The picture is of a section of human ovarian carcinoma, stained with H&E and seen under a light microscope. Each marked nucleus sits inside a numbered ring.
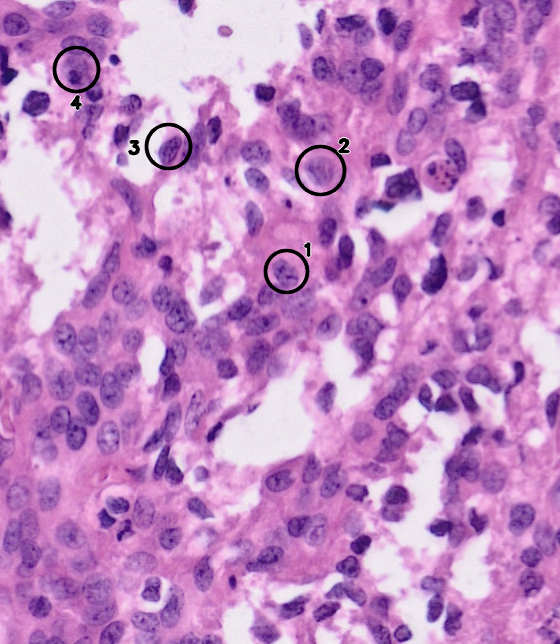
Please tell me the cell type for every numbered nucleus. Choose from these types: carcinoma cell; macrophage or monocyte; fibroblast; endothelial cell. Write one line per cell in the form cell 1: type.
cell 1: macrophage or monocyte
cell 2: carcinoma cell
cell 3: carcinoma cell
cell 4: carcinoma cell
